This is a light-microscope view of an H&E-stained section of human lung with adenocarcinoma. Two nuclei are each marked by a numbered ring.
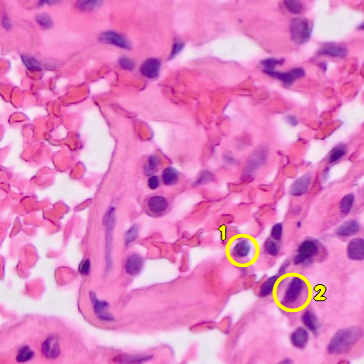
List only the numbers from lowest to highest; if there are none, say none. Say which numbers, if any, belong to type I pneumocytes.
1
